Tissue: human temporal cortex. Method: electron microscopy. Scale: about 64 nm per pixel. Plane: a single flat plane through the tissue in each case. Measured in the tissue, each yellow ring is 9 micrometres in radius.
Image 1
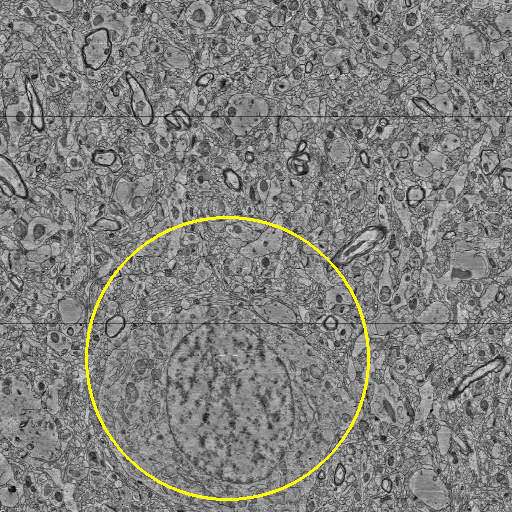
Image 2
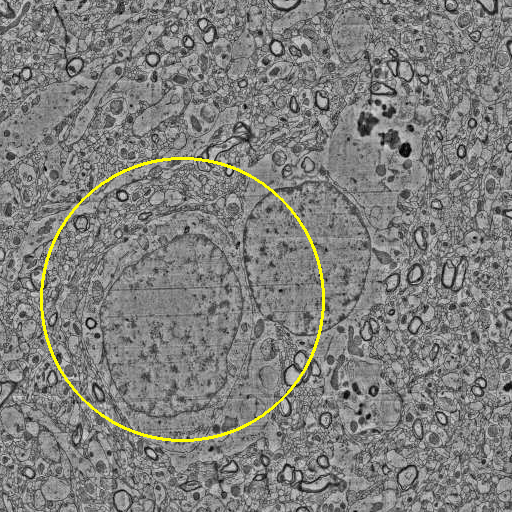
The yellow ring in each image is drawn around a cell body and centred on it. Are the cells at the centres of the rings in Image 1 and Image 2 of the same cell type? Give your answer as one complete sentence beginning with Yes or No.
No, the two cells are of two separate types.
